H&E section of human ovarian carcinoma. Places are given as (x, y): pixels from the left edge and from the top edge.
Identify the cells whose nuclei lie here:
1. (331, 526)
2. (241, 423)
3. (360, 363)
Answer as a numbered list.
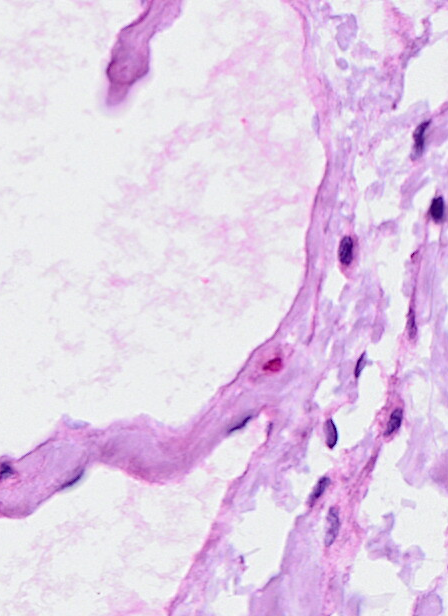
1. fibroblast
2. endothelial cell
3. fibroblast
